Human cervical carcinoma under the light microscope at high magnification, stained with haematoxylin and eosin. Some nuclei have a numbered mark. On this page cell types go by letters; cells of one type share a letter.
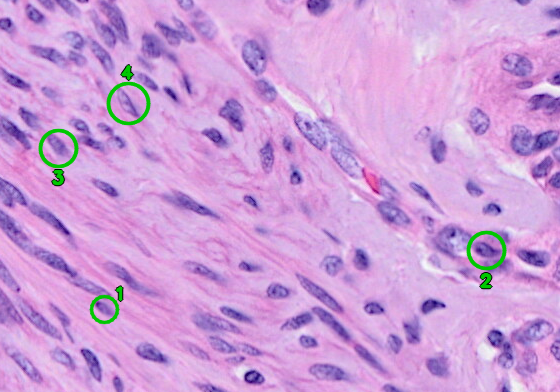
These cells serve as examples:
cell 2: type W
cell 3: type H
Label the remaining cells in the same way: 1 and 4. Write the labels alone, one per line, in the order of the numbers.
type H
type H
